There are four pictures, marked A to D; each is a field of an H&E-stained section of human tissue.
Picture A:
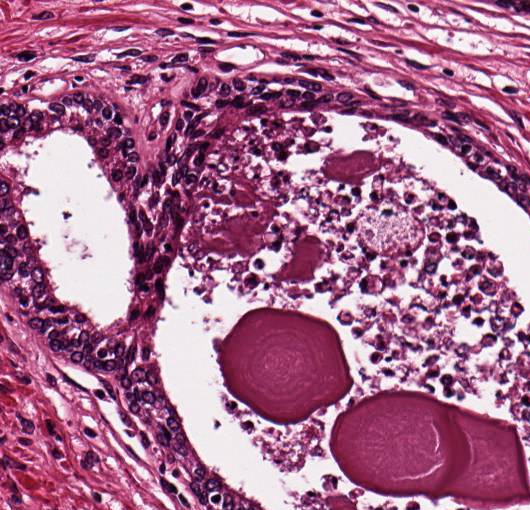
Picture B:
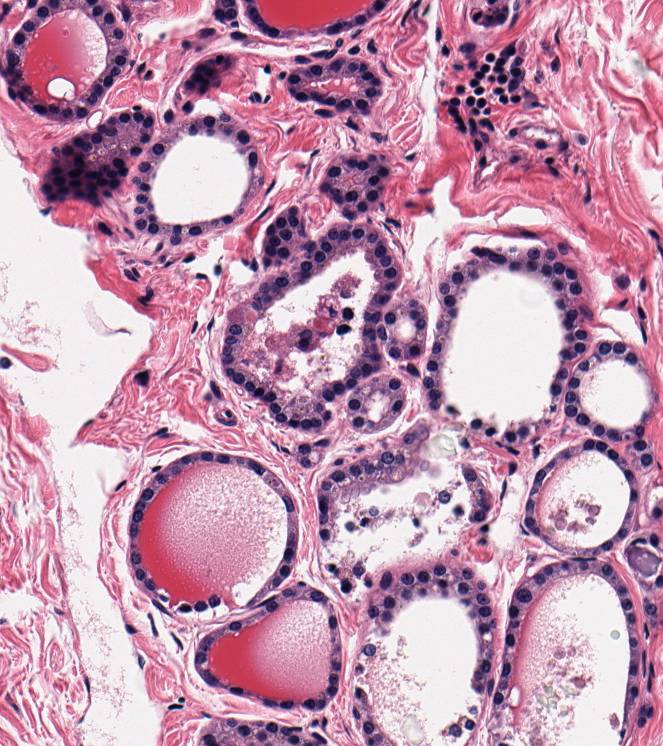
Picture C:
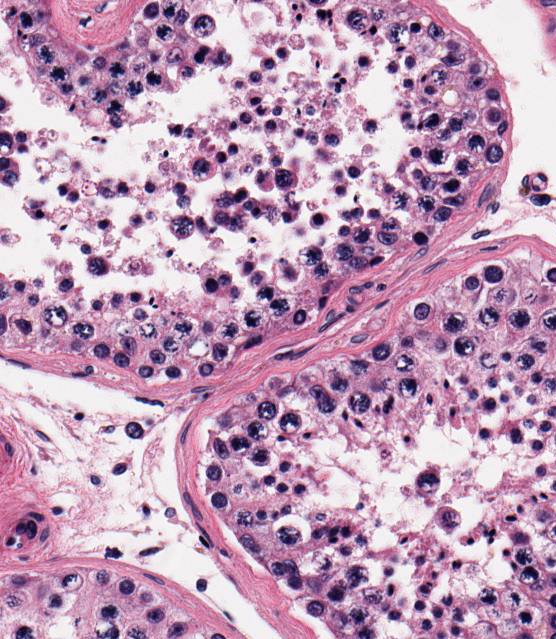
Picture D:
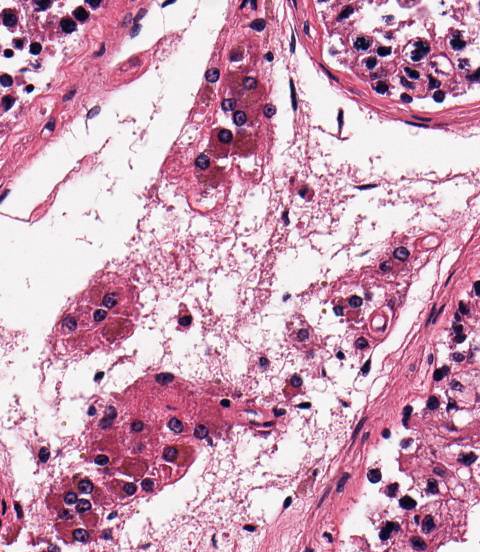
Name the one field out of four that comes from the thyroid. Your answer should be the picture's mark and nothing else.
B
